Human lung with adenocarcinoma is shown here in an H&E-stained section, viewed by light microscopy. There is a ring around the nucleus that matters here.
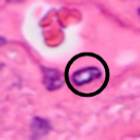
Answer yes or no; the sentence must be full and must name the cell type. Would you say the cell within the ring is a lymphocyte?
No, it is not as a lymphocyte but as an endothelial cell that the cell within the ring is classed.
